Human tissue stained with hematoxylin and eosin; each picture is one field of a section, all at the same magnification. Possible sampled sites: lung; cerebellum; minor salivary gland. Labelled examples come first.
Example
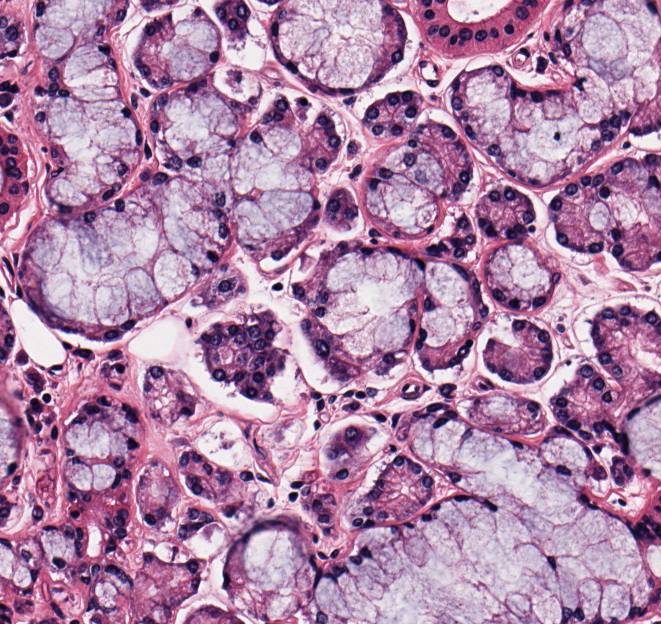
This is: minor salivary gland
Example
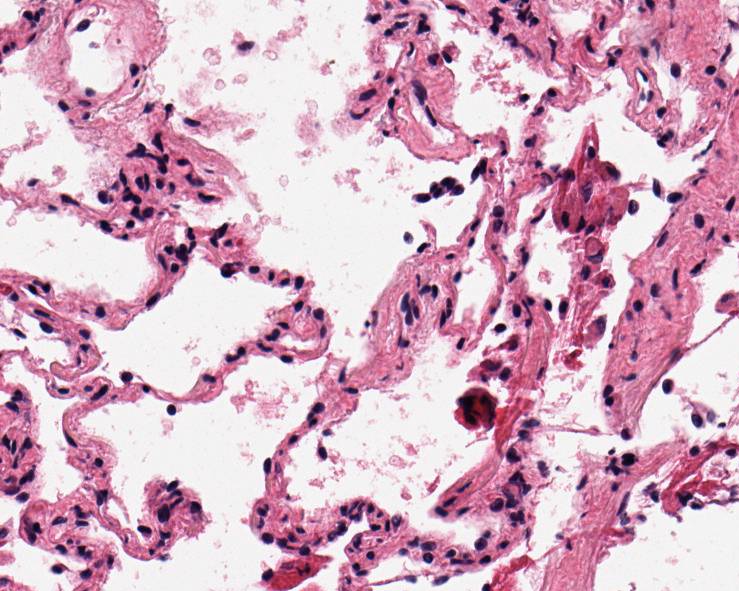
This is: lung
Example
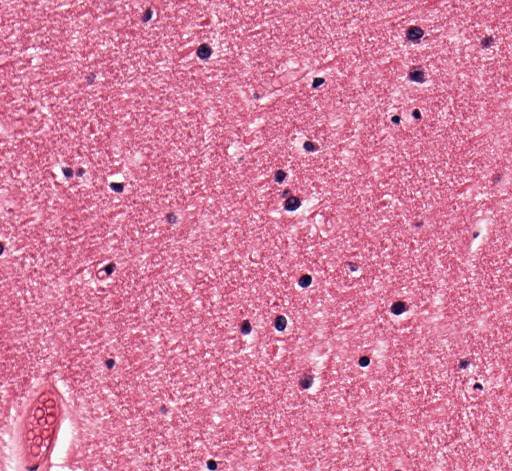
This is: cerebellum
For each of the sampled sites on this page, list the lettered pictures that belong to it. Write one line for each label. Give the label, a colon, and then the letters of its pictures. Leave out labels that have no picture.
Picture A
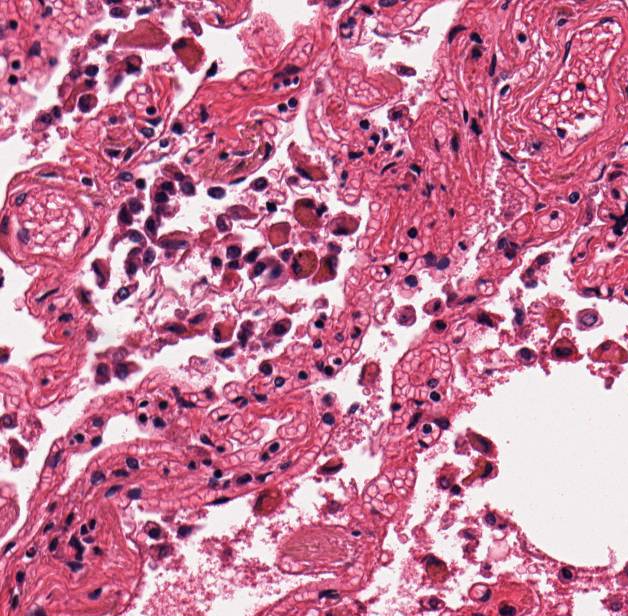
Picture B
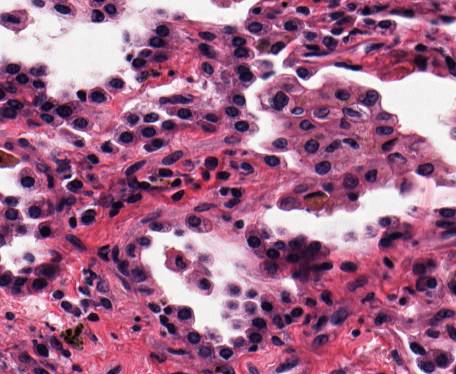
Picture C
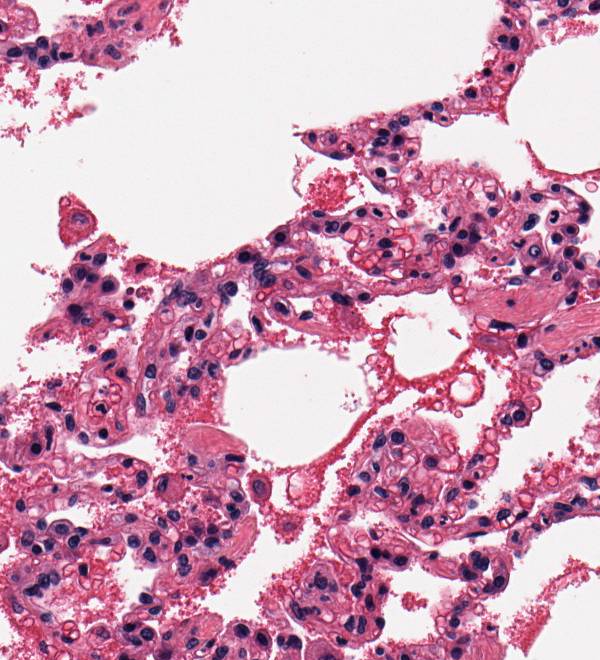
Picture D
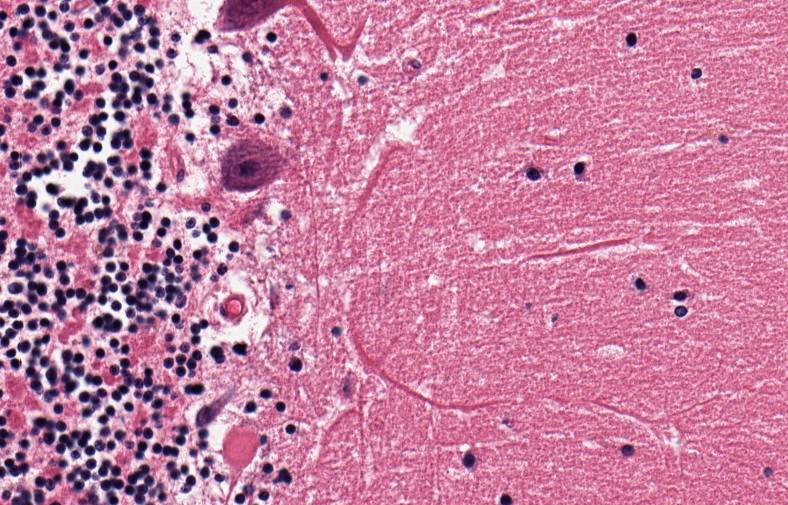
lung: A, B, C
cerebellum: D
